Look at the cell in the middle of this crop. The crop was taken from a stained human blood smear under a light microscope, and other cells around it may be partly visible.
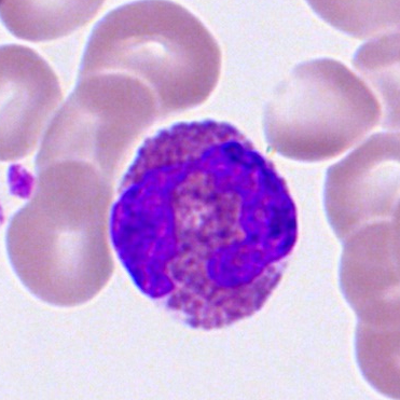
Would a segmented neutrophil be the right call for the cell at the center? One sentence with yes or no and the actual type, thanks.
No, the cell at the centre of the crop is an eosinophil and not a segmented neutrophil.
